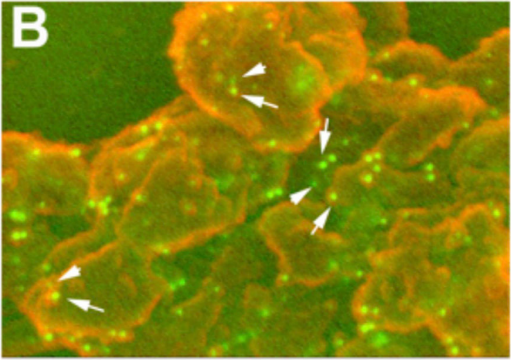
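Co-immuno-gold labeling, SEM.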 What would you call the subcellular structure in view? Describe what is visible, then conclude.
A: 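Plasma membranes. Thin, flat, sheet-like fragments with raised, curled edges. Overlapping sheets without any nuclei or cell contents. Small bright particles scattered over the sheet surfaces.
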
